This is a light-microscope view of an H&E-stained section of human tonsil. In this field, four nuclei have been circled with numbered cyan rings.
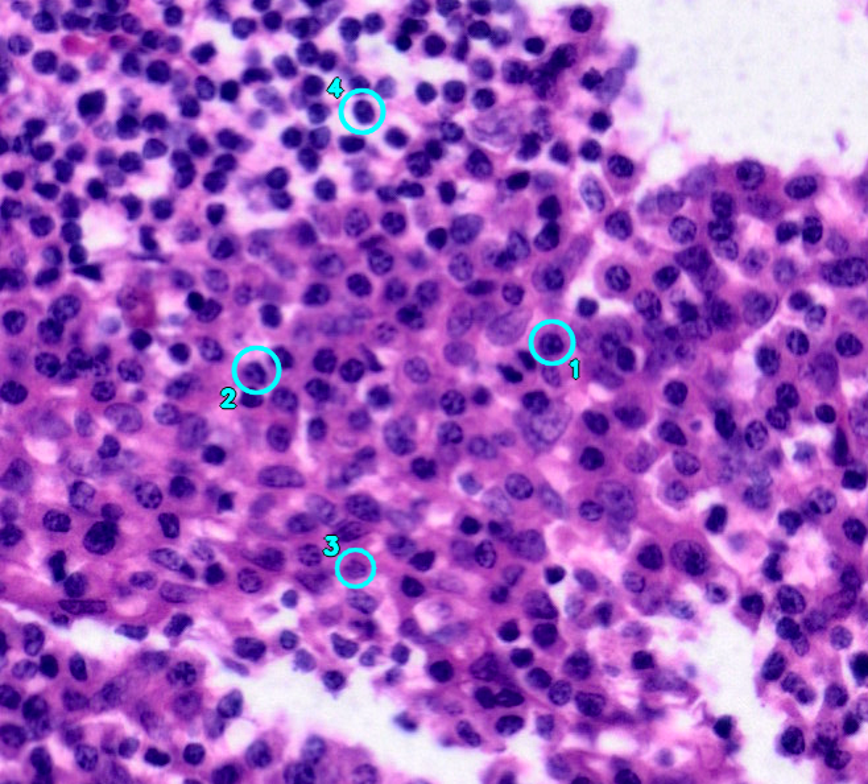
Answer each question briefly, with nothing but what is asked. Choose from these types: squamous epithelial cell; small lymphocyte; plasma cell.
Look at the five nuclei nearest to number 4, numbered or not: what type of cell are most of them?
small lymphocyte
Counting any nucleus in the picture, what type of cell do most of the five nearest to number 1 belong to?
squamous epithelial cell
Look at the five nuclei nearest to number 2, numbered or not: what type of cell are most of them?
plasma cell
